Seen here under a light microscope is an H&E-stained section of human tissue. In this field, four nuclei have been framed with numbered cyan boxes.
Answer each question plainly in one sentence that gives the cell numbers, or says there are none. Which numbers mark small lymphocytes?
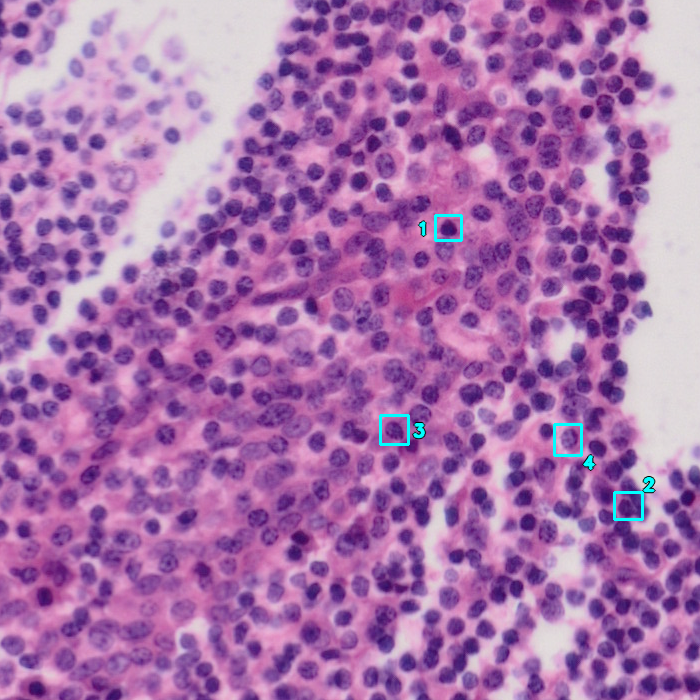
It is cell 2, and no other numbered cell, that is a small lymphocyte.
